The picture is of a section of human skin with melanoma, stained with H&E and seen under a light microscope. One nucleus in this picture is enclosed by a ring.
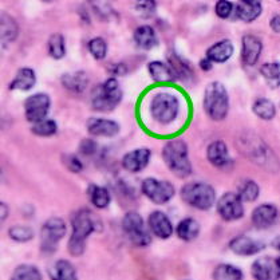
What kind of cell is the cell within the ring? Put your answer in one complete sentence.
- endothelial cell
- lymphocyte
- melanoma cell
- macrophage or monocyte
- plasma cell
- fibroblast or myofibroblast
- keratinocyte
The identity of the cell within the ring is that of a lymphocyte.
